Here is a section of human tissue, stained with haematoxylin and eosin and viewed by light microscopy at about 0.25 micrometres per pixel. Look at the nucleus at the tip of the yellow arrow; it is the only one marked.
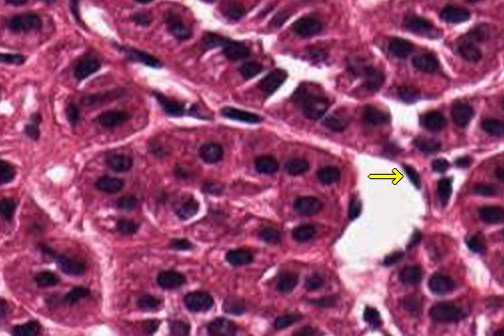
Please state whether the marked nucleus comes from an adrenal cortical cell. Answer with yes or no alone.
no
